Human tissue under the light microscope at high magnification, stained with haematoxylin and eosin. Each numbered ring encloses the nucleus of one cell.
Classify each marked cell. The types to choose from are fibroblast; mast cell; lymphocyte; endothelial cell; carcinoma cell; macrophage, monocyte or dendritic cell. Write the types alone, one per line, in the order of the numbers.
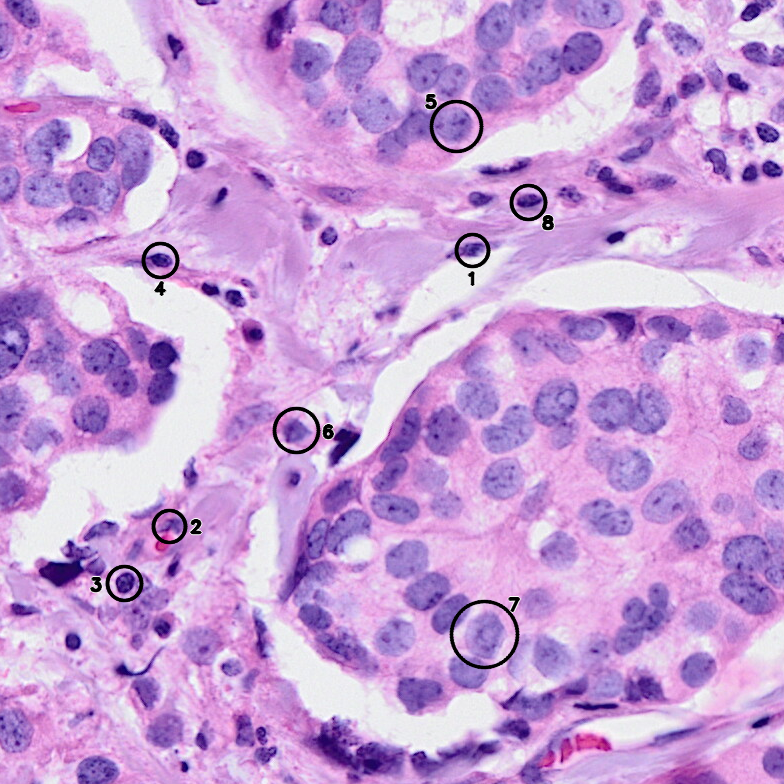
lymphocyte
endothelial cell
lymphocyte
lymphocyte
carcinoma cell
carcinoma cell
carcinoma cell
lymphocyte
